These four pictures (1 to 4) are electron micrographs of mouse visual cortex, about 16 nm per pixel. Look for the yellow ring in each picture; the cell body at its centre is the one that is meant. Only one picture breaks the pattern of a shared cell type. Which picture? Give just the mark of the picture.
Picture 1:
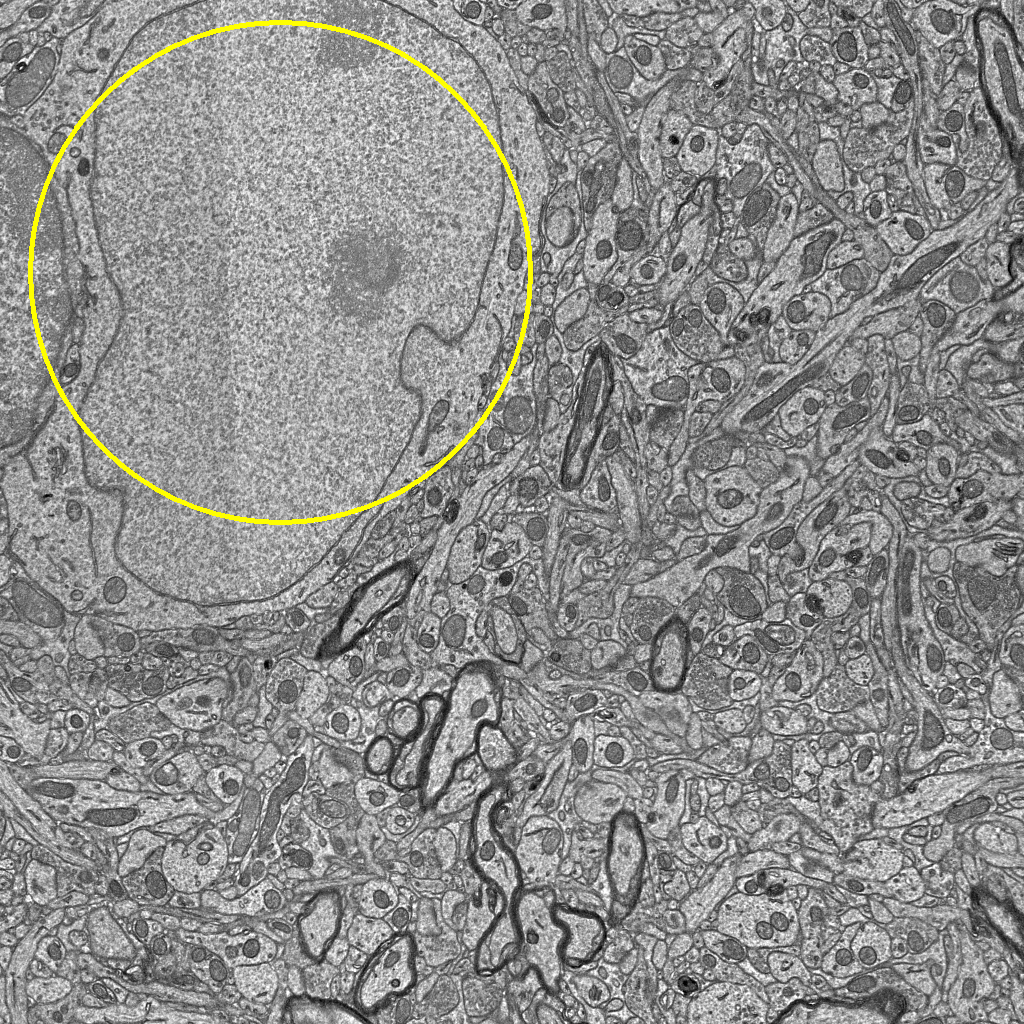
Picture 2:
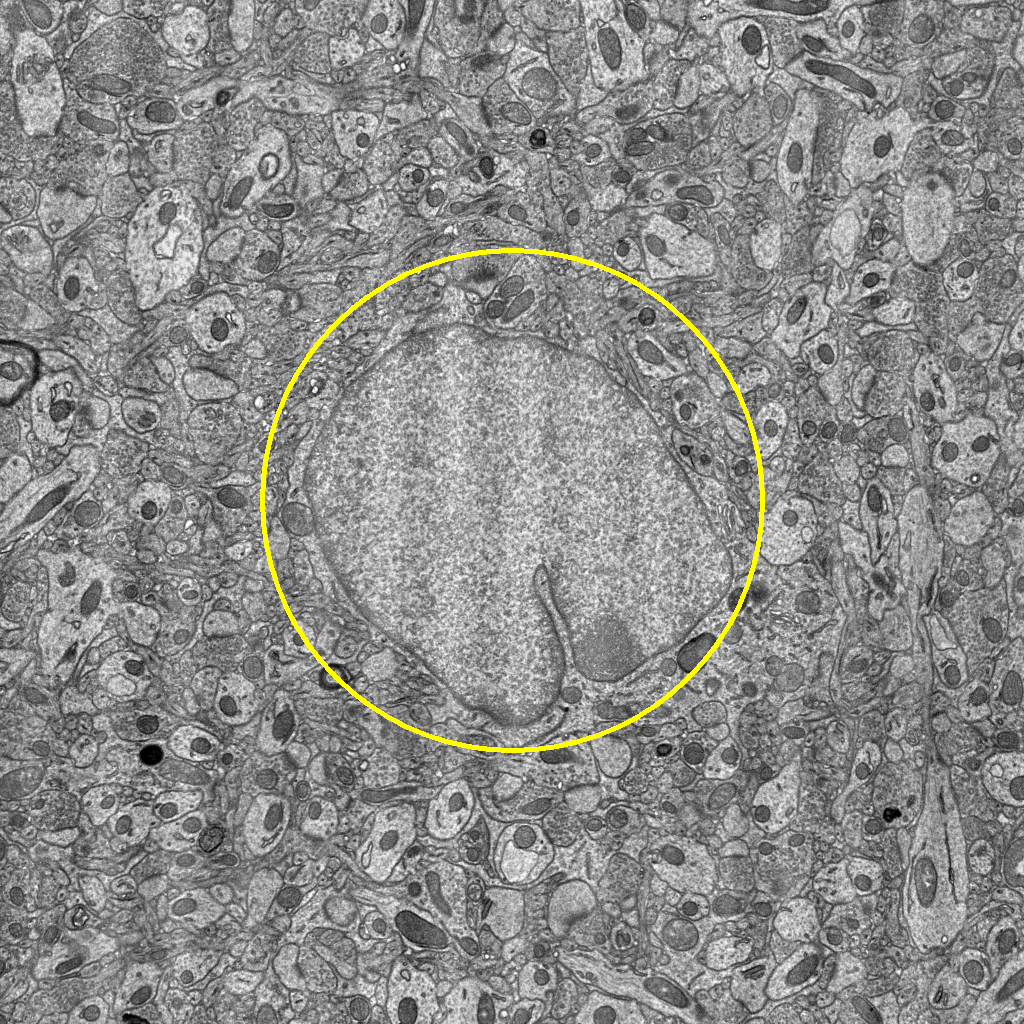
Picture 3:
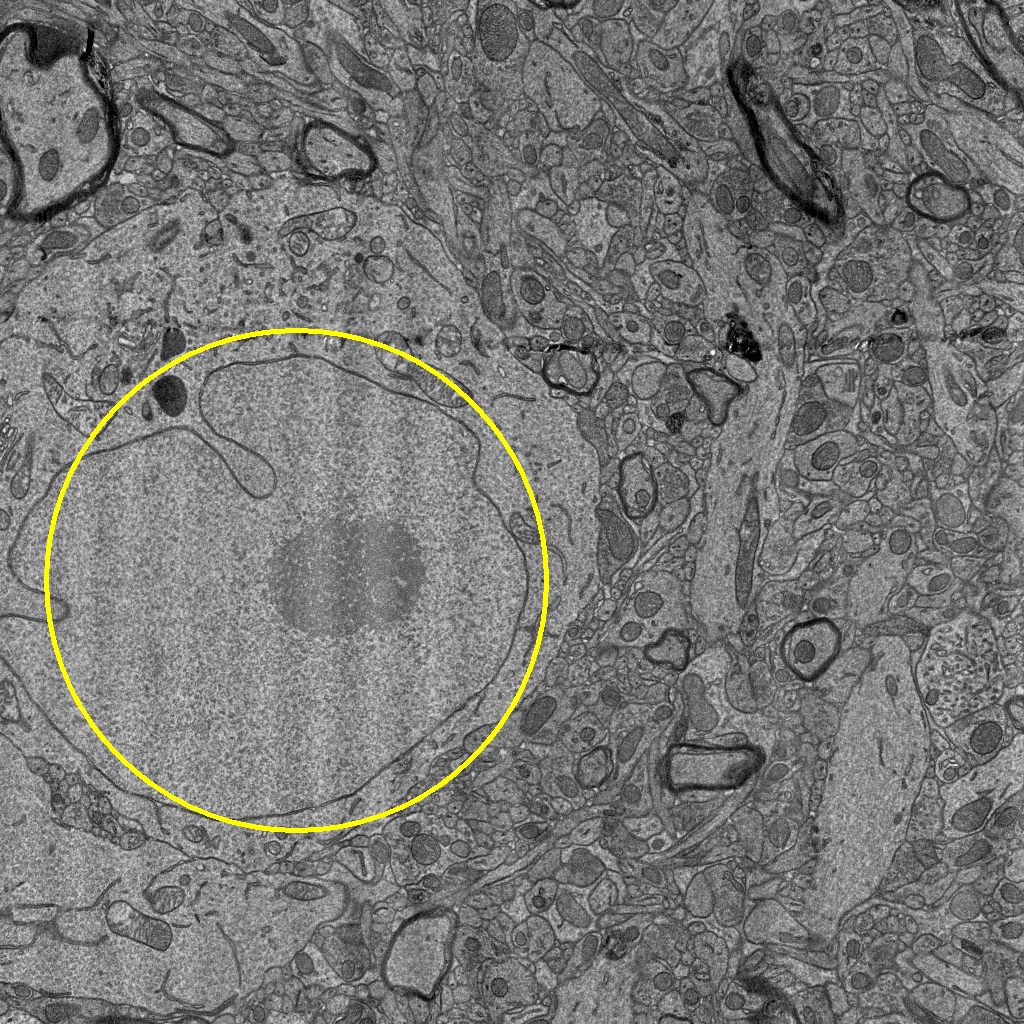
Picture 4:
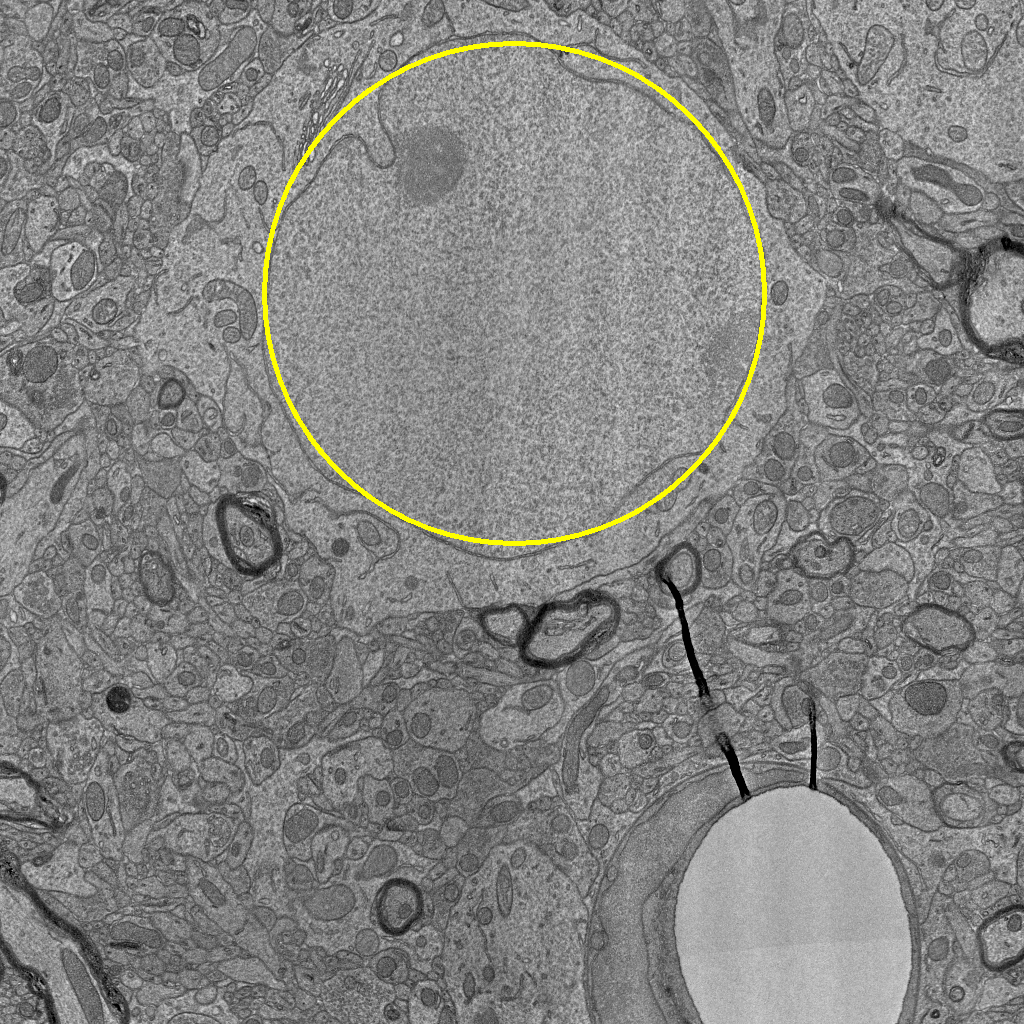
2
